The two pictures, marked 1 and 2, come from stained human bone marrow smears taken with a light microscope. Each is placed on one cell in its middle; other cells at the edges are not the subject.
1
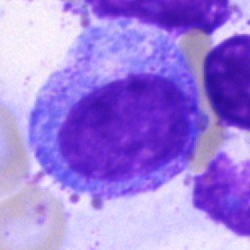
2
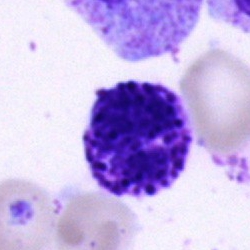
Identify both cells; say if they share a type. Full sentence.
No, sorry, crop 1 shows a promyelocyte and crop 2 shows a basophil.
